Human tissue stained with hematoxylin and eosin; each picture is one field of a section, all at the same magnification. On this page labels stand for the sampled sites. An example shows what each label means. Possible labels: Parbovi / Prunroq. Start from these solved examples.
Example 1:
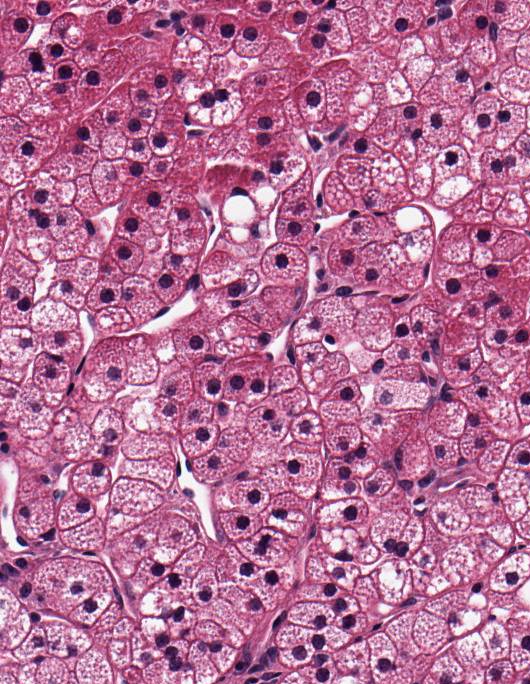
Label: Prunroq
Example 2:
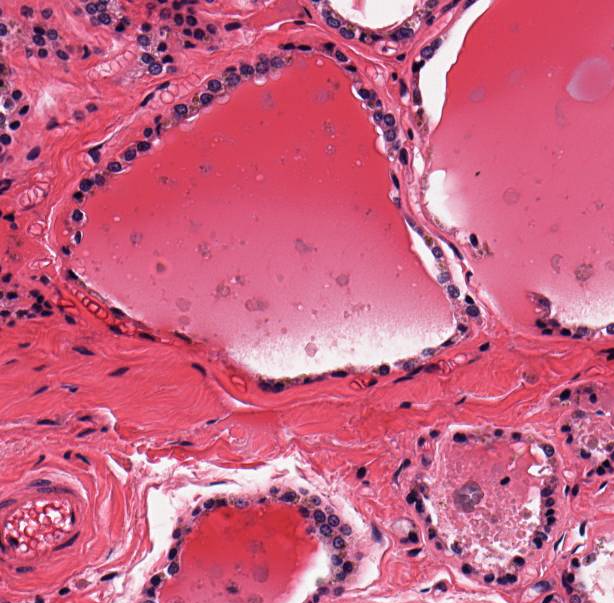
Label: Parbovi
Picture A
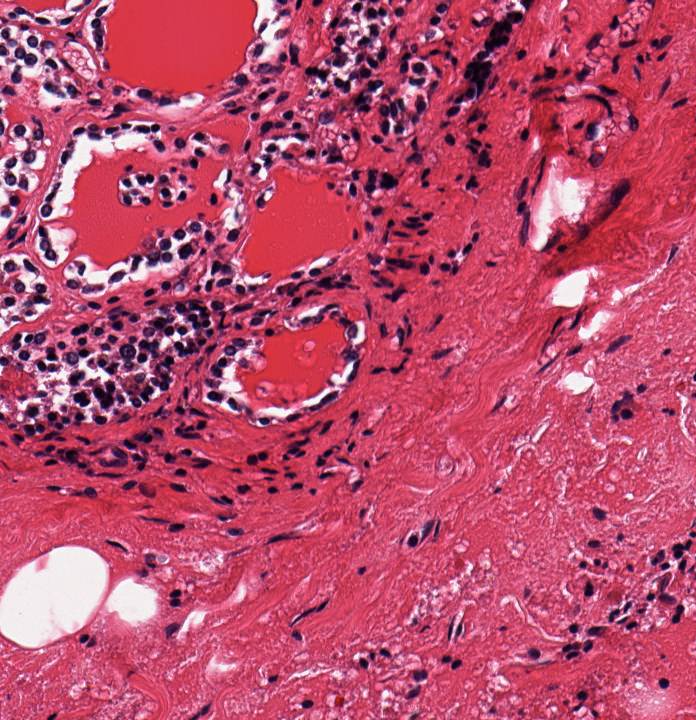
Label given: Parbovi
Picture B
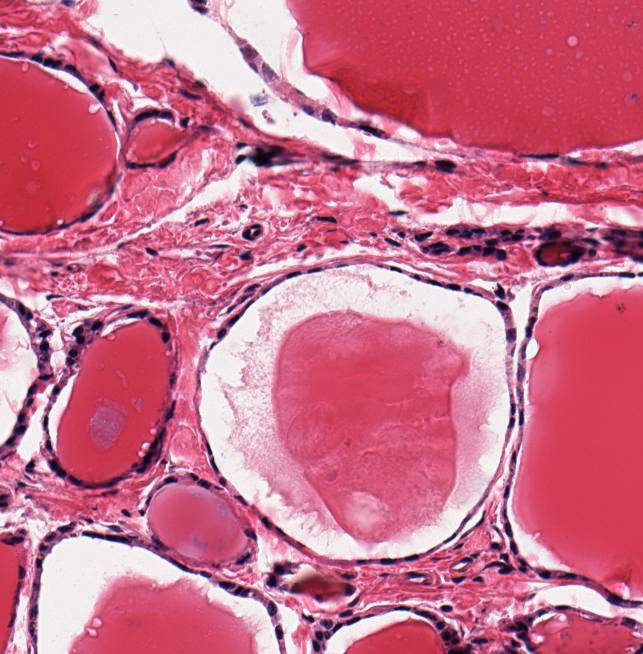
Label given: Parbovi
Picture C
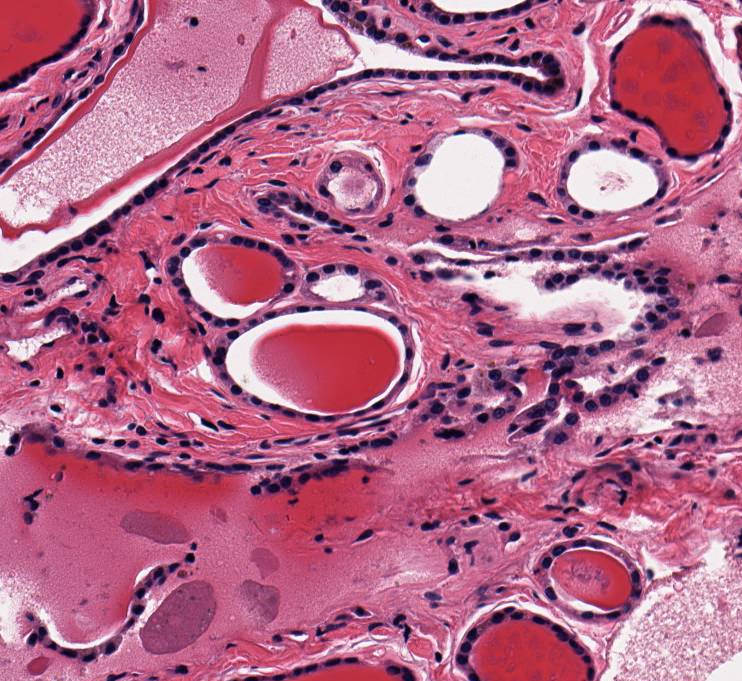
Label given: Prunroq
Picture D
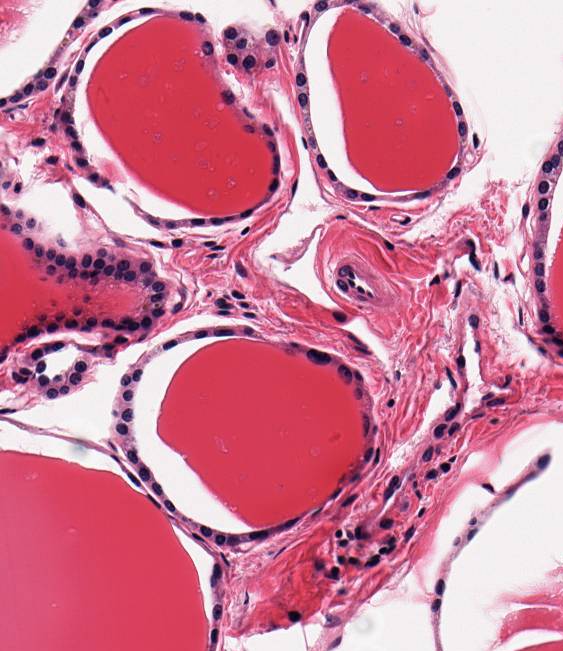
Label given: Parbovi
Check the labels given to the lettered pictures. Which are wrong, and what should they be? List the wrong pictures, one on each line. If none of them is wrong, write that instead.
C is labelled Prunroq; correct label: Parbovi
